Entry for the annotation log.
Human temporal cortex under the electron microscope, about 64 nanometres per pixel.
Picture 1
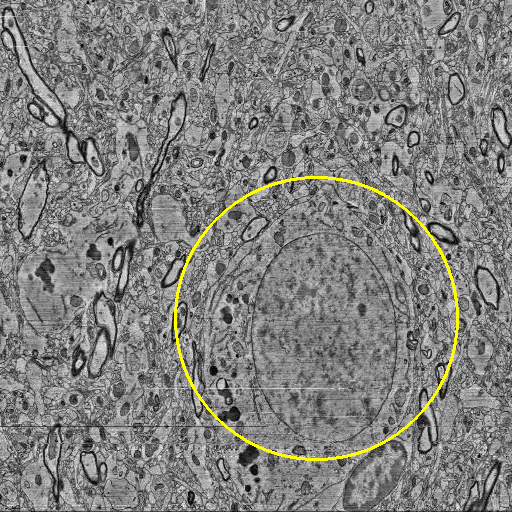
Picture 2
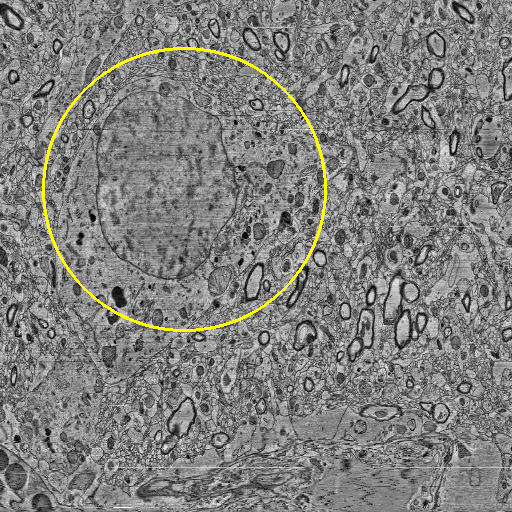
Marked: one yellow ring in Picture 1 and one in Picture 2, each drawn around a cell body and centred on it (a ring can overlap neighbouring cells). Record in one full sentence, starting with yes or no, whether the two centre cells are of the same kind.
Yes, both cells are of the same kind.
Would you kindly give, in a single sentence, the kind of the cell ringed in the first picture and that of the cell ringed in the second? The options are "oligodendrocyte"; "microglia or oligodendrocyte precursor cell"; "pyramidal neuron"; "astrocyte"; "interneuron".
The cell at the ring centre is a pyramidal neuron in both pictures.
